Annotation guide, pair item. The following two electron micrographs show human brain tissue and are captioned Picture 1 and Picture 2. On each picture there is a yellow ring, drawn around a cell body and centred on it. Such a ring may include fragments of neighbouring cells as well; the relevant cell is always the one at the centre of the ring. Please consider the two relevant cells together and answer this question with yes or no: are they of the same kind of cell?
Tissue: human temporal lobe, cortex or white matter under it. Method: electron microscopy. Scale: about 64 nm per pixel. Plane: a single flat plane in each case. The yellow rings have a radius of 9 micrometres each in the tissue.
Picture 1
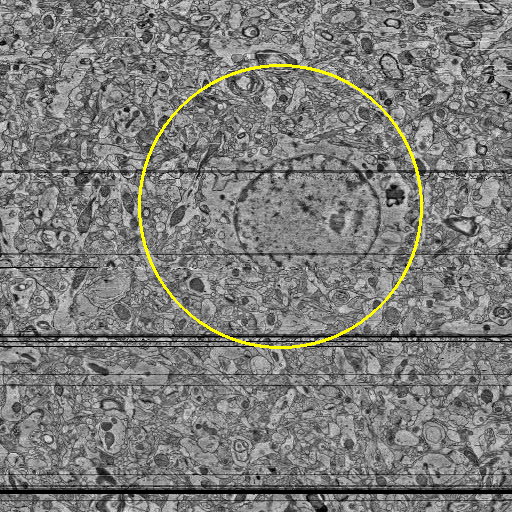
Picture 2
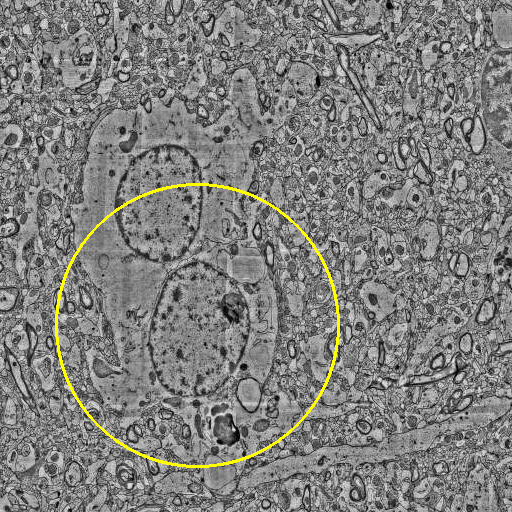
yes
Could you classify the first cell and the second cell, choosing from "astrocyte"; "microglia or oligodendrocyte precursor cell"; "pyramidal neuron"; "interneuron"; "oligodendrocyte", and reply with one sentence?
Each one of the two ringed cells is an astrocyte.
